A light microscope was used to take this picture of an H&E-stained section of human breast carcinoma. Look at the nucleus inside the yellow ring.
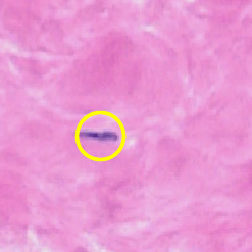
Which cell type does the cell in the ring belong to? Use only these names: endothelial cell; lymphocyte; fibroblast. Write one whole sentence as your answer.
In this tissue section, the cell in the ring is to be classed as a fibroblast.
